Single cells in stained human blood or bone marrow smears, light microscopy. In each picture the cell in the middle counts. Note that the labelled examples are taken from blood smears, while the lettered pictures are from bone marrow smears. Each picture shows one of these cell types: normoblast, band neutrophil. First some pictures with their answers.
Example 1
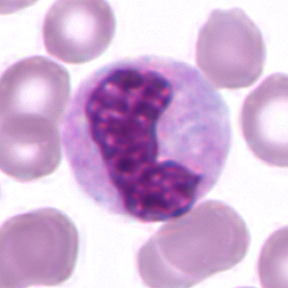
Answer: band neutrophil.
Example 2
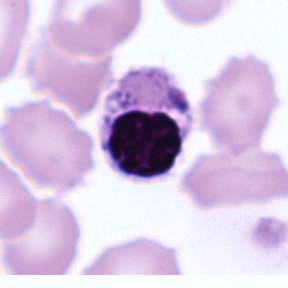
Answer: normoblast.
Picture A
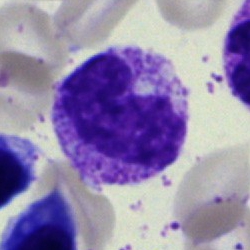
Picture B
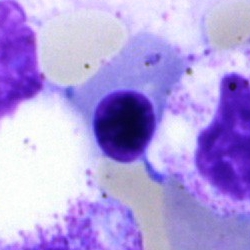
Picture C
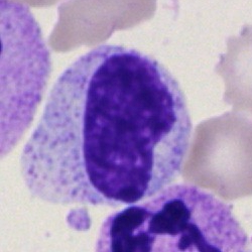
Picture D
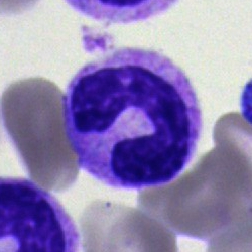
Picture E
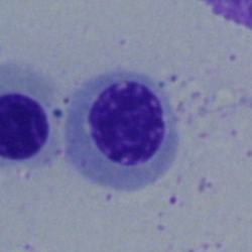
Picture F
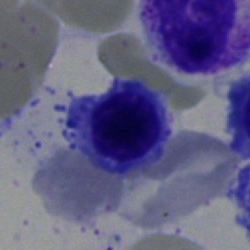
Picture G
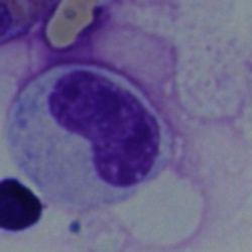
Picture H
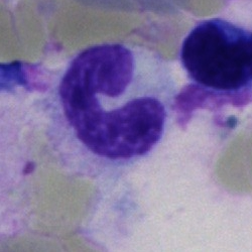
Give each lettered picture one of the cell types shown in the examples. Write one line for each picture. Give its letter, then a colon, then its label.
A: band neutrophil.
B: normoblast.
C: band neutrophil.
D: band neutrophil.
E: normoblast.
F: normoblast.
G: band neutrophil.
H: band neutrophil.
